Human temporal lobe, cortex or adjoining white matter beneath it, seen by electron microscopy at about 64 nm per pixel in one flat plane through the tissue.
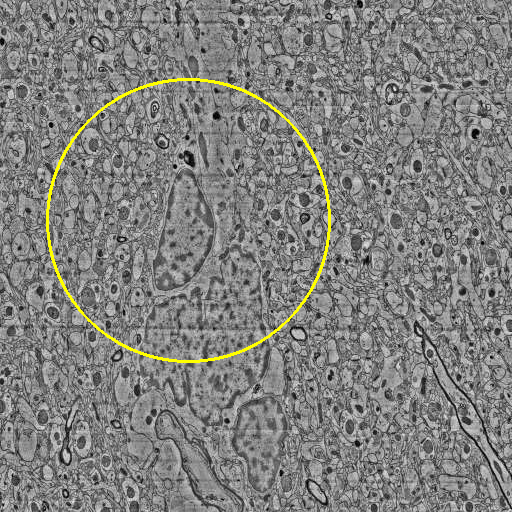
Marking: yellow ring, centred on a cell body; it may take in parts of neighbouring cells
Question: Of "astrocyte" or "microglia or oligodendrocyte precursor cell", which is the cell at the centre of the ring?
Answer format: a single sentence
The ring surrounds the body of a microglial cell or oligodendrocyte precursor cell.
